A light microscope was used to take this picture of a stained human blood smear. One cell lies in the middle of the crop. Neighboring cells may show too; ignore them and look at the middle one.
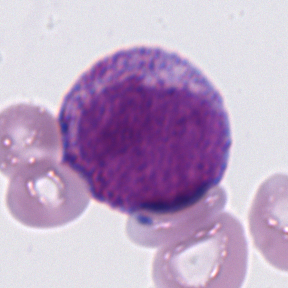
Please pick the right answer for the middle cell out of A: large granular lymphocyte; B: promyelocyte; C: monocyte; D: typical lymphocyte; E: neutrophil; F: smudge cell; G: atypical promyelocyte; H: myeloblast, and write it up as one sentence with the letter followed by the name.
Of the choices given, option B is right, as the central cell is a promyelocyte.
